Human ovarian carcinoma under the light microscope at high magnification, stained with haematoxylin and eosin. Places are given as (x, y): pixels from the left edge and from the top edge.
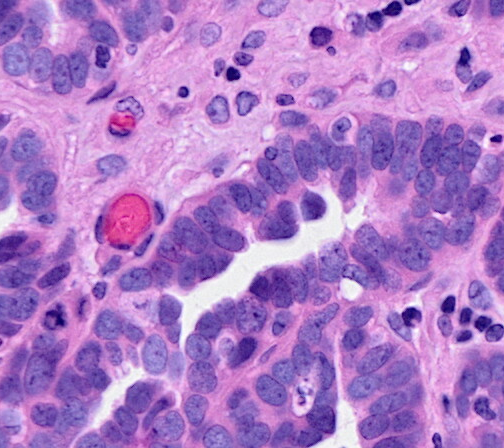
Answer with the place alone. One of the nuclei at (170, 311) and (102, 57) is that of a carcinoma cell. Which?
(170, 311)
